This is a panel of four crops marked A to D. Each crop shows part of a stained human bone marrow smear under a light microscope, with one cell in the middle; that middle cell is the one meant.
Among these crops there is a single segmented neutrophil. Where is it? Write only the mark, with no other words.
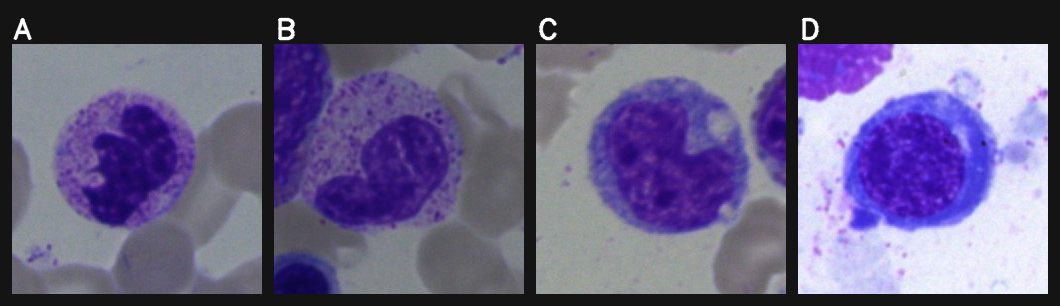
A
